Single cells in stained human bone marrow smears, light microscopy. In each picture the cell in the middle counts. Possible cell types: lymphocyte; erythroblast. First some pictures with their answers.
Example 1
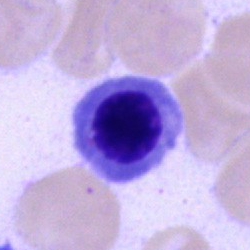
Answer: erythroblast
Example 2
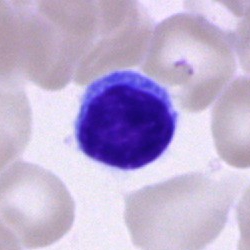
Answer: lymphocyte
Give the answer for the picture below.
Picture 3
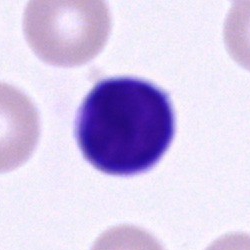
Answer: lymphocyte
